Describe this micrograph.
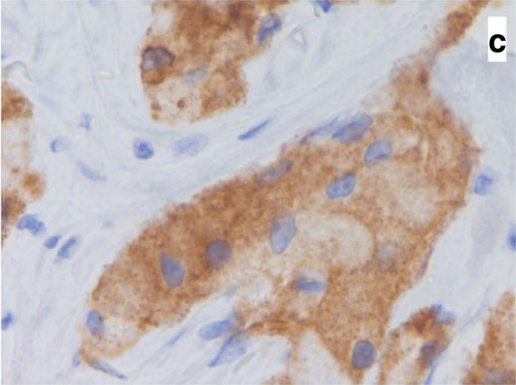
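Nests of large cells with abundant cytoplasm are filled with finely granular brown staining, while their oval nuclei are blue and mostly bland. The nests lie in pale fibrous stroma containing small elongated blue-stained nuclei that are unstained brown.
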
